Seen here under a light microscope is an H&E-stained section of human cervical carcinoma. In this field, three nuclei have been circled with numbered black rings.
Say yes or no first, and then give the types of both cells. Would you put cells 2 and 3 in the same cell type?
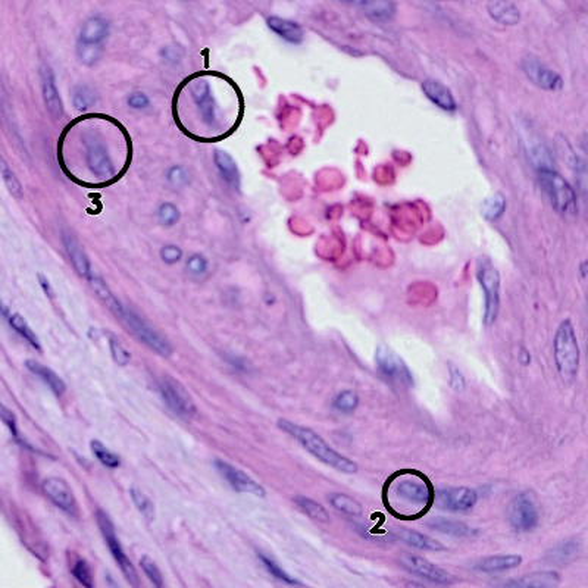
Yes, both are smooth muscle cells.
